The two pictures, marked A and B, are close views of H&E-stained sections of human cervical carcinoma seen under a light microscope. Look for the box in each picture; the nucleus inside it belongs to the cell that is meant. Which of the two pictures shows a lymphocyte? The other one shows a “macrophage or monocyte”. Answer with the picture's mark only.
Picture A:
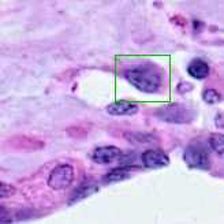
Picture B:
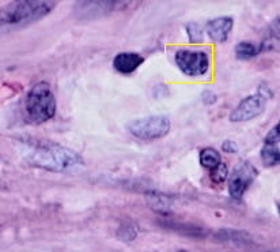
B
